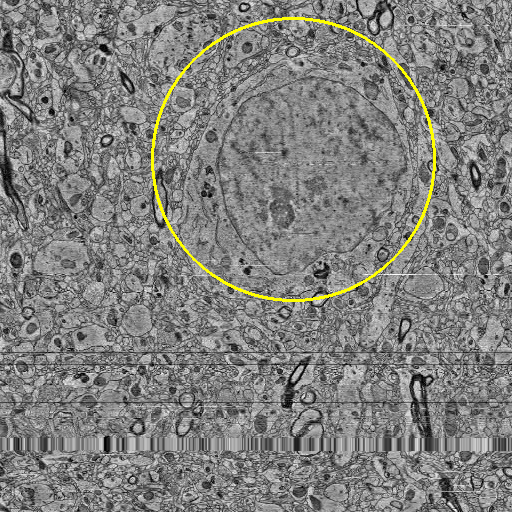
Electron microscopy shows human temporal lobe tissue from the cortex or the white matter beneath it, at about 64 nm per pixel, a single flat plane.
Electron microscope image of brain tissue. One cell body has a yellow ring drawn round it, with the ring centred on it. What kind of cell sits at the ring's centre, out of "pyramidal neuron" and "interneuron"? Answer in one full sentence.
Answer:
It is an interneuron whose cell body sits at the centre of the yellow ring.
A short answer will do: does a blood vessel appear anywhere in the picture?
No, there is no blood vessel.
